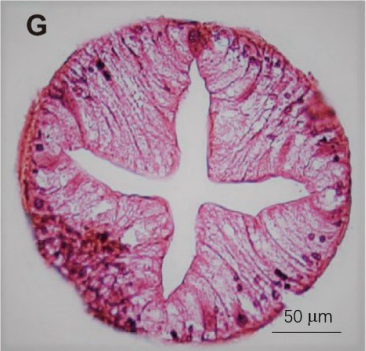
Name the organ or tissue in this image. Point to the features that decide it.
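A round cross-section with a single layer of tall columnar epithelium around a central lumen. The lumen is star-shaped with four arms. Dark purple nuclei lie in the epithelial cells. That points to this answer: hepatic tubules.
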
